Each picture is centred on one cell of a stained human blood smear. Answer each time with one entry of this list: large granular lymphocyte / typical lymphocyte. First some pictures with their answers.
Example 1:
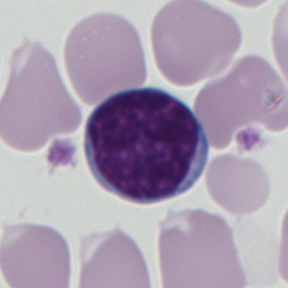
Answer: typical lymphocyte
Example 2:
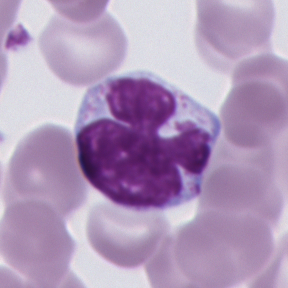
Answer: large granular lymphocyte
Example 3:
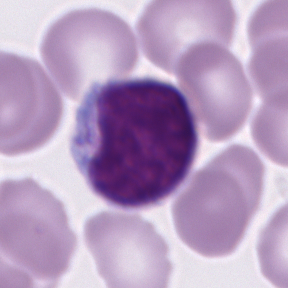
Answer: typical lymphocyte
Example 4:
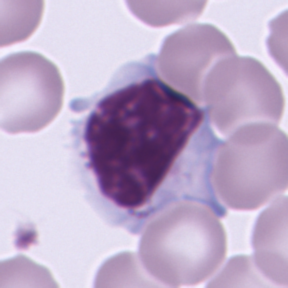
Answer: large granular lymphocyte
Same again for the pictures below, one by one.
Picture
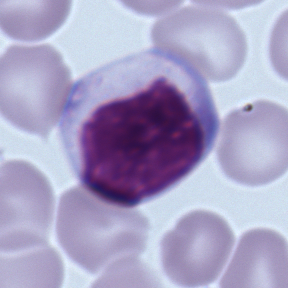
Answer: large granular lymphocyte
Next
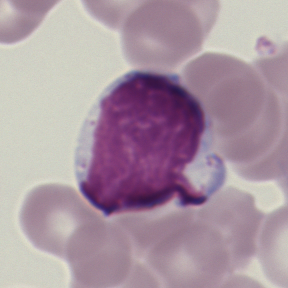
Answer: large granular lymphocyte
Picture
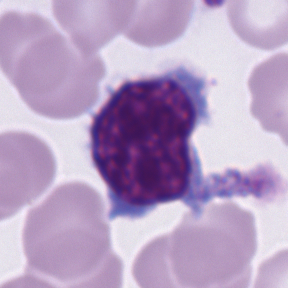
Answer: typical lymphocyte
